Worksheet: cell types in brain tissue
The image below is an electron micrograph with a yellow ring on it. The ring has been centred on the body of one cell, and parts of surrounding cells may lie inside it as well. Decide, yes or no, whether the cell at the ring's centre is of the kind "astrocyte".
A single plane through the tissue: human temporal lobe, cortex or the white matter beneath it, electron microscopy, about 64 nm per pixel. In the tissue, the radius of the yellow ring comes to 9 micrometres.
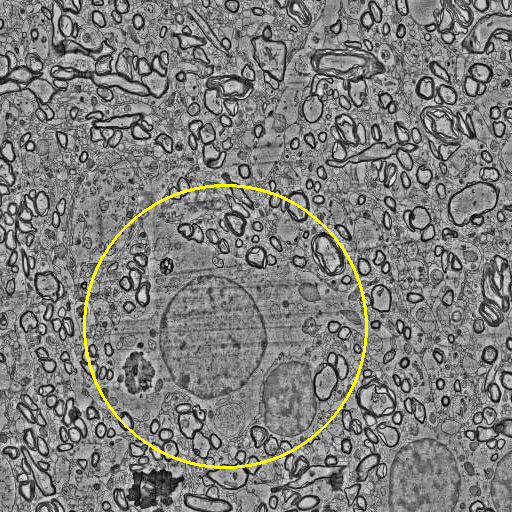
yes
